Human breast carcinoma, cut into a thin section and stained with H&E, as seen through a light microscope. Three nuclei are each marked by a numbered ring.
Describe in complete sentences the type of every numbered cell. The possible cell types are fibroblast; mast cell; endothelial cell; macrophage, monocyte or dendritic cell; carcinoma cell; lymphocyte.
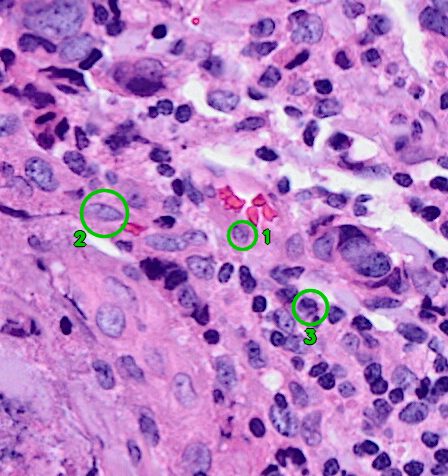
Cells 1 and 2 are endothelial cells. Cell 3 is a lymphocyte.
